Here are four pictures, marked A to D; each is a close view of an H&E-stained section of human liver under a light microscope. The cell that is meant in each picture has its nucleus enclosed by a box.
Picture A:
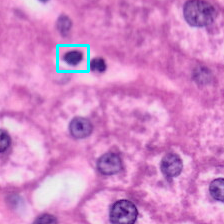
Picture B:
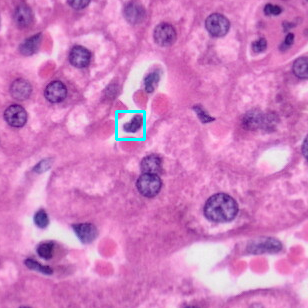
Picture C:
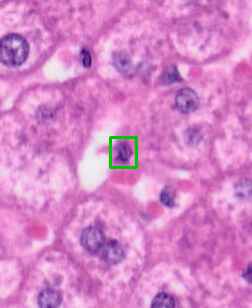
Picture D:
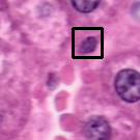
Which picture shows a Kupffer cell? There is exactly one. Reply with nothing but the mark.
C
